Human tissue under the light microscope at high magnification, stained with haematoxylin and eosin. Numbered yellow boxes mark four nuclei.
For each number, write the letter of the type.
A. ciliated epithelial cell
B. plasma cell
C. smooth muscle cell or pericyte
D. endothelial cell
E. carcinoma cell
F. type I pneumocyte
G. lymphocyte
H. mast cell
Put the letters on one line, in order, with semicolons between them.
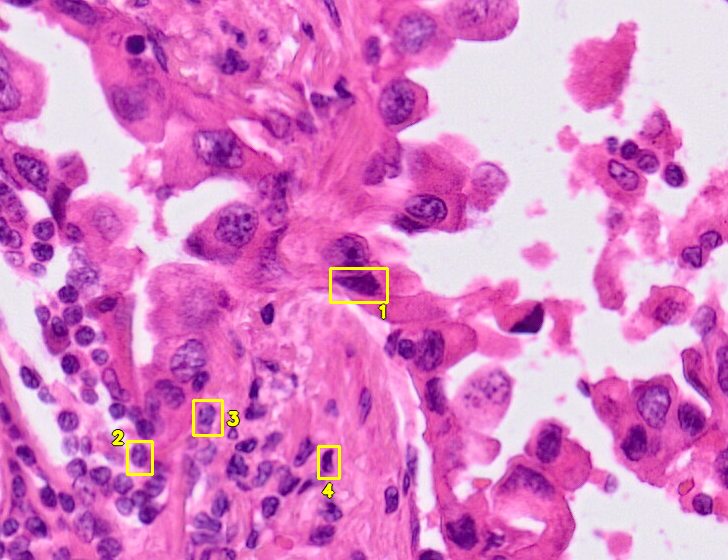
E; G; G; G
